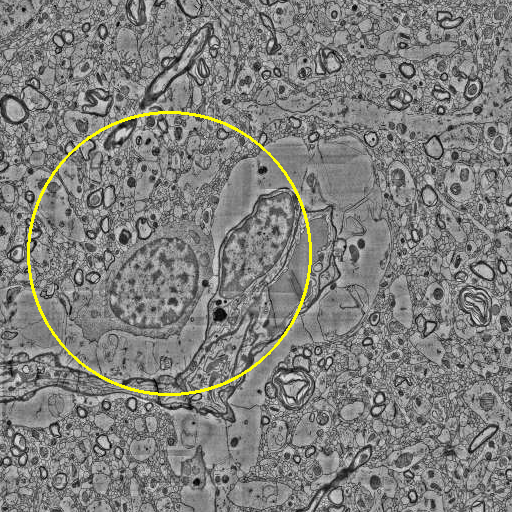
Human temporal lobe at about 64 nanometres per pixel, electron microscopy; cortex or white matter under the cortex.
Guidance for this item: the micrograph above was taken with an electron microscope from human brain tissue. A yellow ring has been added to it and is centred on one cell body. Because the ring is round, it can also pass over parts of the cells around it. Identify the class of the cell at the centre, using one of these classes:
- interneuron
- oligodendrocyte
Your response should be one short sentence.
The ring surrounds the body of an oligodendrocyte.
